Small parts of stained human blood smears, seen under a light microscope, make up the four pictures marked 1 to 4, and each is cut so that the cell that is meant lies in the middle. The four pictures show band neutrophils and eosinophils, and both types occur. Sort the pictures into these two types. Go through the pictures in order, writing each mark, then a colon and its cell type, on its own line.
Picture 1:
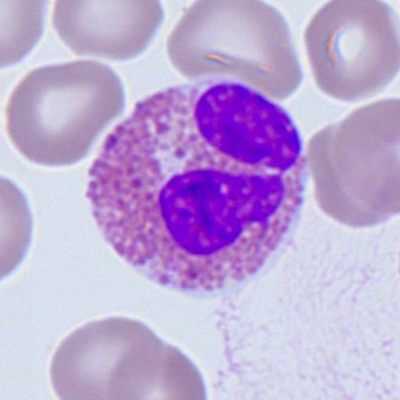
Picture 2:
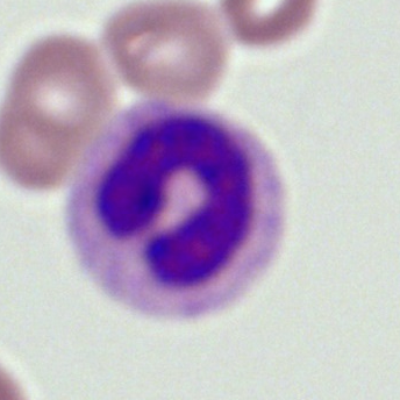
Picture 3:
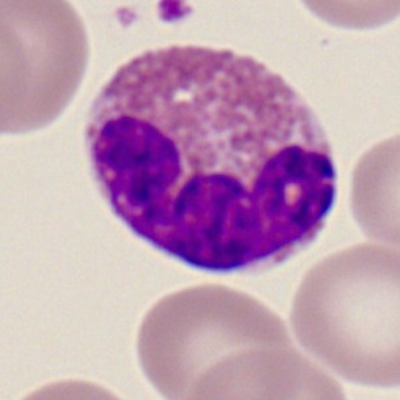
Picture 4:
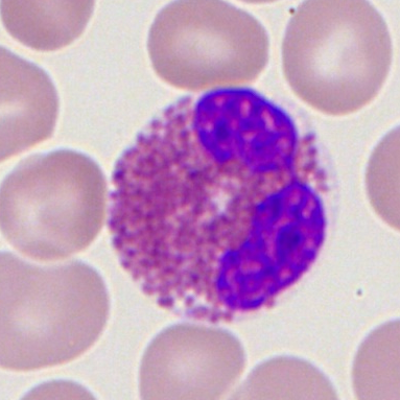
1: eosinophil
2: band neutrophil
3: eosinophil
4: eosinophil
